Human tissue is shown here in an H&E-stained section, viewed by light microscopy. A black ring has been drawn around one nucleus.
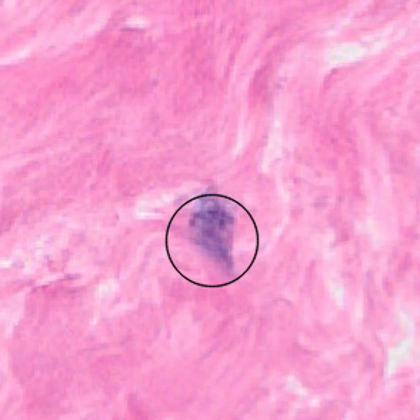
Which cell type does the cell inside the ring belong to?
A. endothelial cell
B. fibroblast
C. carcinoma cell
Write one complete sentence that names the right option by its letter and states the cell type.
The correct option, B, describes the cell inside the ring as a fibroblast.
